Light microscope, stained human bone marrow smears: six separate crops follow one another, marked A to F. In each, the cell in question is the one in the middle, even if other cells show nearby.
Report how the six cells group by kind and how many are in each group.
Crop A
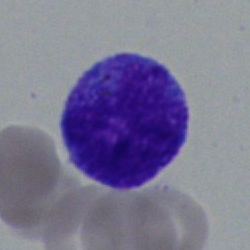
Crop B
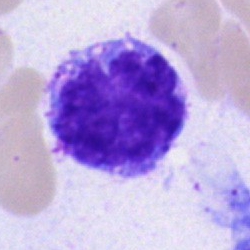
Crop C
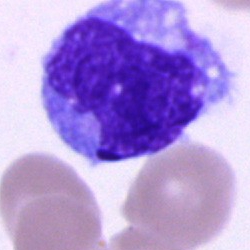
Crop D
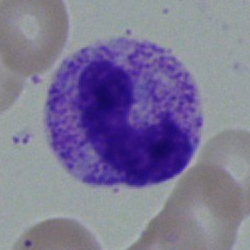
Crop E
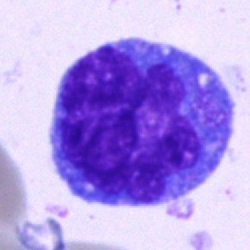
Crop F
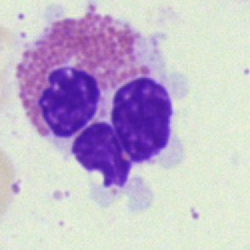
monocyte: 4
band neutrophil: 1
basophil: 1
